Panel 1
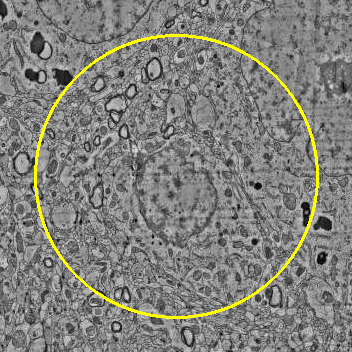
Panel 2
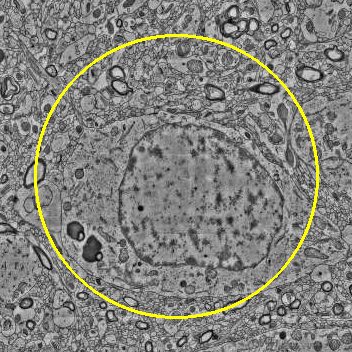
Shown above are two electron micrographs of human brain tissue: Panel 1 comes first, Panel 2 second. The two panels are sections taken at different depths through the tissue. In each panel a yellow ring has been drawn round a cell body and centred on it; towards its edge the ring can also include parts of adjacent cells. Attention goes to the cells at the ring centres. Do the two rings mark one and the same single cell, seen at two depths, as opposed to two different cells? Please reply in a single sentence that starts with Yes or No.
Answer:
No, one ring marks one cell and the other ring marks another.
